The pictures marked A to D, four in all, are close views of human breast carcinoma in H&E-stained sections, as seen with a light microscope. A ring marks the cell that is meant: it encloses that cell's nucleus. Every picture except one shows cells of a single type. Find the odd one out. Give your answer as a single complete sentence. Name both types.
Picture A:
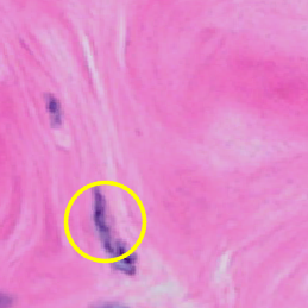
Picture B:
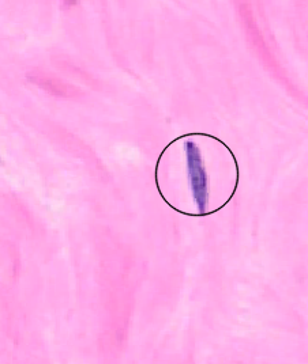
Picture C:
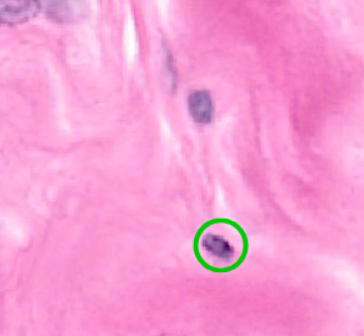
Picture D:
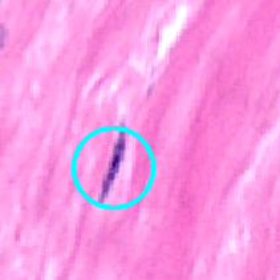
The different one is picture C; it shows a lymphocyte, whereas all the others show fibroblasts.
